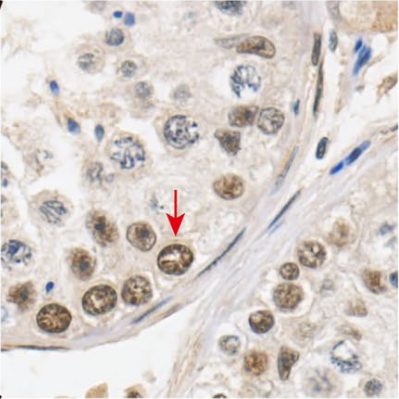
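Along the base of the tubule sit round cells with round nuclei stained brown, one of which is marked as a spermatogonium. Further in, larger cells with coarse, clumped chromatin lie in a pale cytoplasm, some with bluish nuclei. Outside the tubule the wall is made of flattened cells with elongated blue nuclei. The cytoplasm throughout shows a light brownish tint.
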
